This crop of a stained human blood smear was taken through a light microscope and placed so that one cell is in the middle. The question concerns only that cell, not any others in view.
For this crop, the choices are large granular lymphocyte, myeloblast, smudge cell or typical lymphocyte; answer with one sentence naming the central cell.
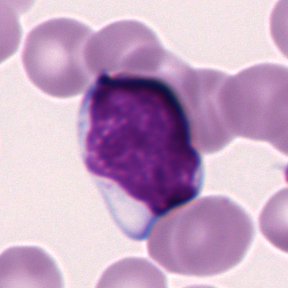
Centred in the crop is a large granular lymphocyte.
